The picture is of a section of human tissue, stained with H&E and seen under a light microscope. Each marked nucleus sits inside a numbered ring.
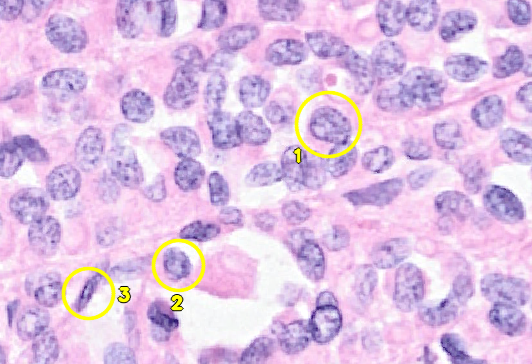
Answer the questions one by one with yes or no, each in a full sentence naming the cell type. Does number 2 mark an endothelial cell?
No, cell 2 isn't an endothelial cell; it's a carcinoma cell.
